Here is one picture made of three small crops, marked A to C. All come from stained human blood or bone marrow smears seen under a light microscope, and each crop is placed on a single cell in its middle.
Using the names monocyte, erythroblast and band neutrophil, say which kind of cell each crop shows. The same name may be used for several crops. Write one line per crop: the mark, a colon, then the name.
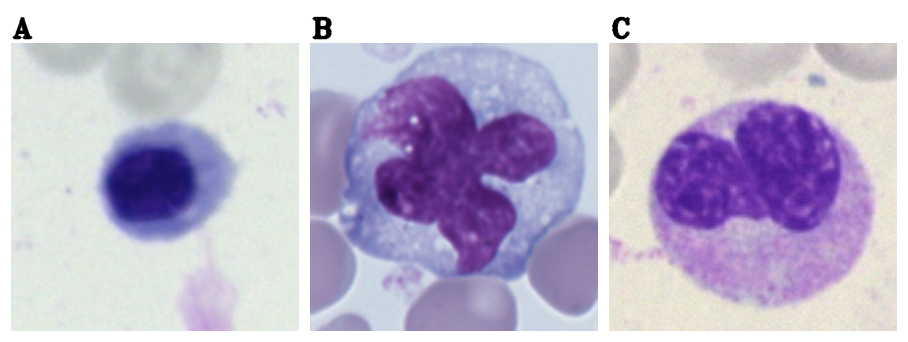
A: erythroblast
B: monocyte
C: band neutrophil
